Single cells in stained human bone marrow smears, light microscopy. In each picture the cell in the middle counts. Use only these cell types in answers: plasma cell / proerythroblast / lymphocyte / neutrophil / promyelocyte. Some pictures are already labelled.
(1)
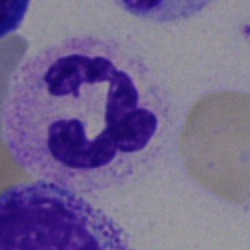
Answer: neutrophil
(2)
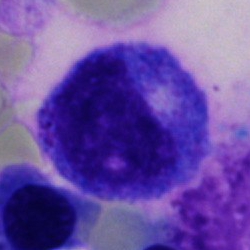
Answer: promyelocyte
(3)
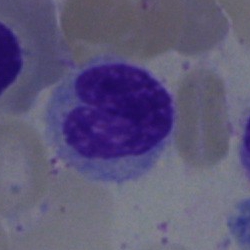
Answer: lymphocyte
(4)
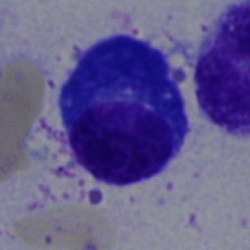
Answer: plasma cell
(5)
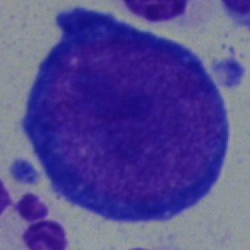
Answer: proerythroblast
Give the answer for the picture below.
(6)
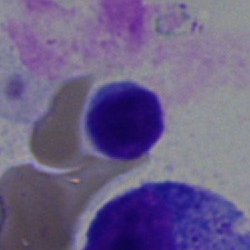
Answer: lymphocyte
